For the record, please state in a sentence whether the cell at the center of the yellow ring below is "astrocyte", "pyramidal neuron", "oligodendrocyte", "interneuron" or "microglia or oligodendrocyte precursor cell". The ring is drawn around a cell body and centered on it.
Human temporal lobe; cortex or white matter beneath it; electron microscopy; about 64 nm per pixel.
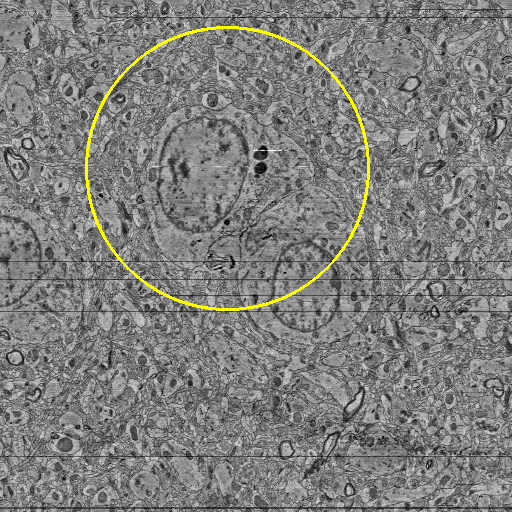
The cell at the ring's center is a pyramidal neuron.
